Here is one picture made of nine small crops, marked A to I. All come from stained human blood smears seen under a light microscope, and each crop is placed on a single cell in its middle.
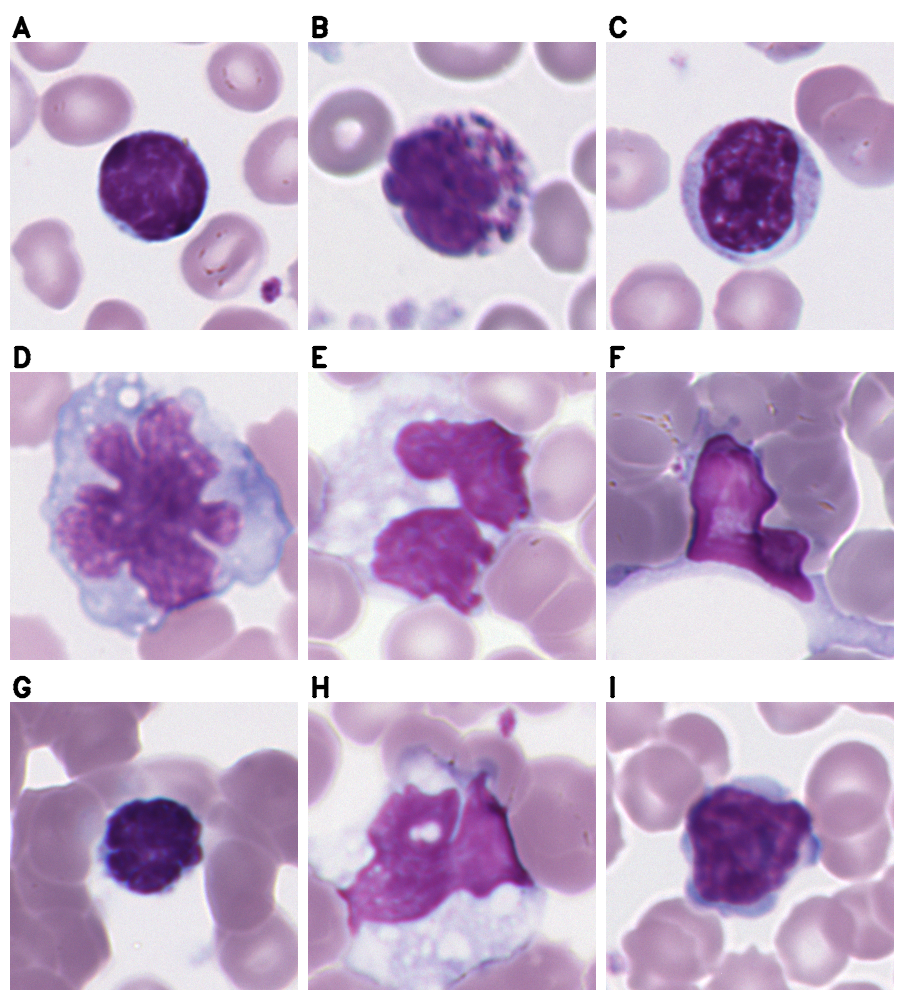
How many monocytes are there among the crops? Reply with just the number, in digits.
3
